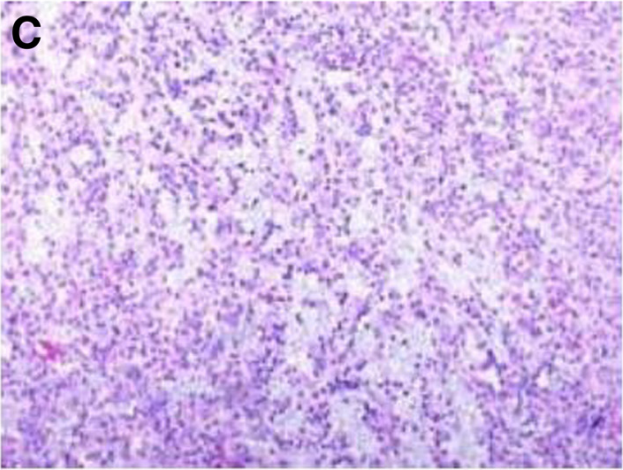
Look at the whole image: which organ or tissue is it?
Lymphoid stroma.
